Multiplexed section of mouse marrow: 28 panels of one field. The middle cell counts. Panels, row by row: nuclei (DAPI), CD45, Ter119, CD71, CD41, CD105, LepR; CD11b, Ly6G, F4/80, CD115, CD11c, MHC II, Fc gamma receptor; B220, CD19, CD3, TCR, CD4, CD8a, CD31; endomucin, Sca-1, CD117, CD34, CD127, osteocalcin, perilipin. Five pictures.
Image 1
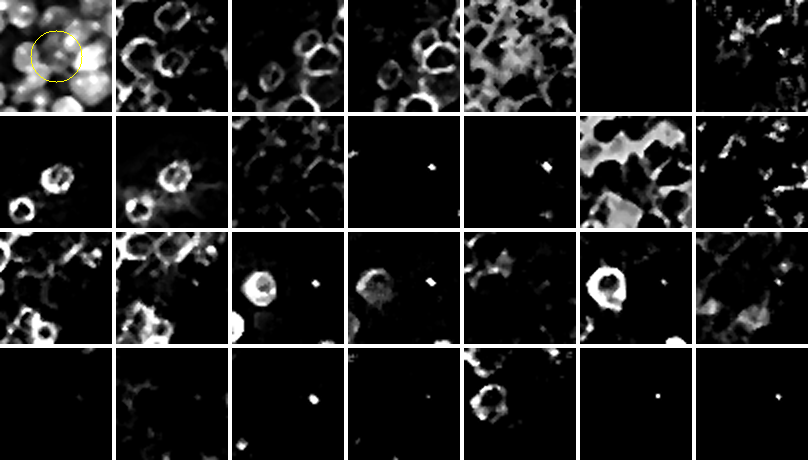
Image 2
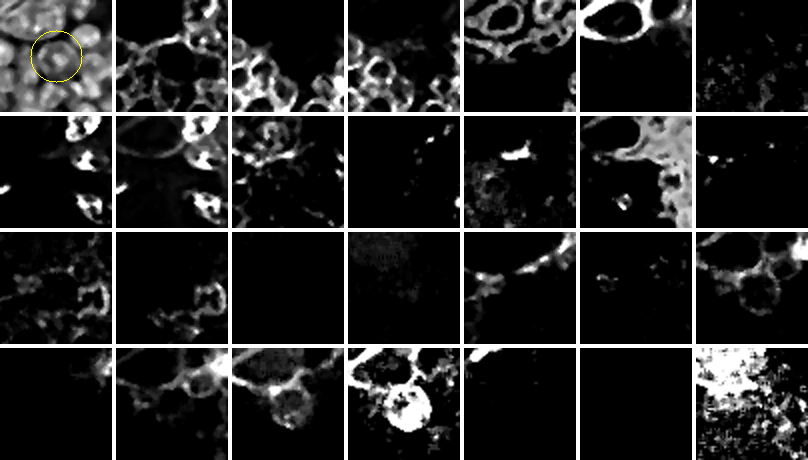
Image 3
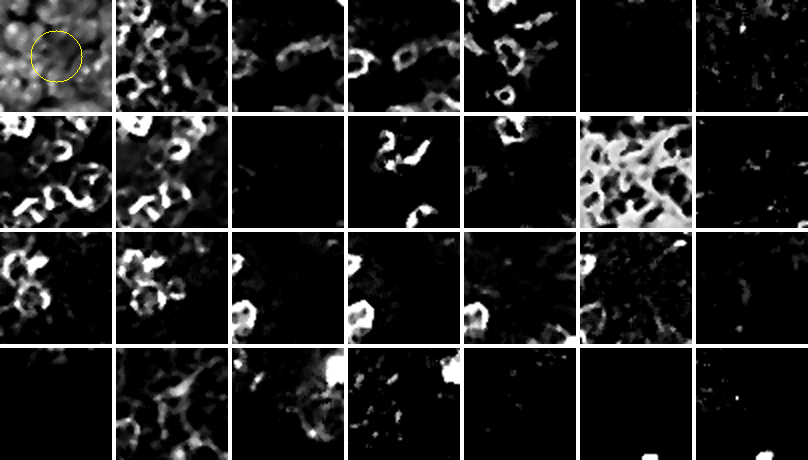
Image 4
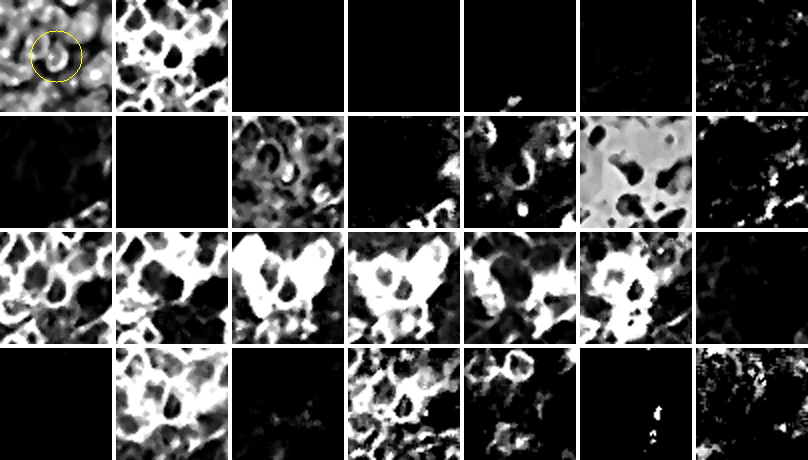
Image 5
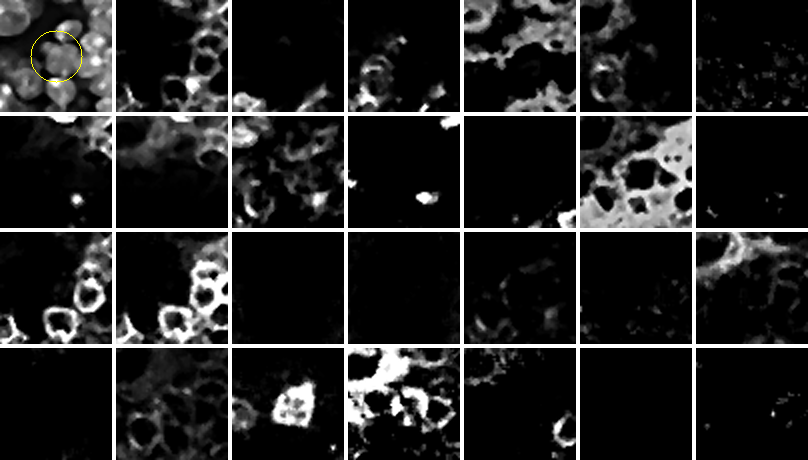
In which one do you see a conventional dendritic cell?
In picture 4.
